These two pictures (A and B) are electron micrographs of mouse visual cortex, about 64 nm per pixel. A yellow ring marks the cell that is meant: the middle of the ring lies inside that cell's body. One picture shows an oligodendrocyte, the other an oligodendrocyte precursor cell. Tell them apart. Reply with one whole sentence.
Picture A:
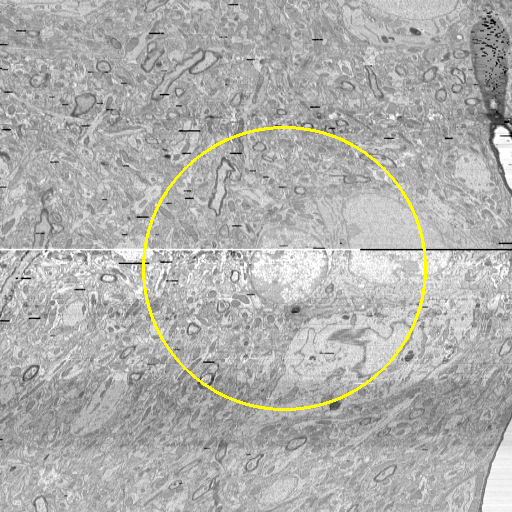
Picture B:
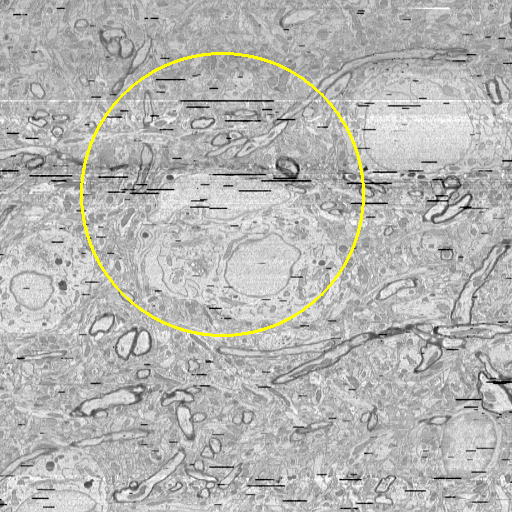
The cell in picture A is an oligodendrocyte, and the one in picture B is an oligodendrocyte precursor cell.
